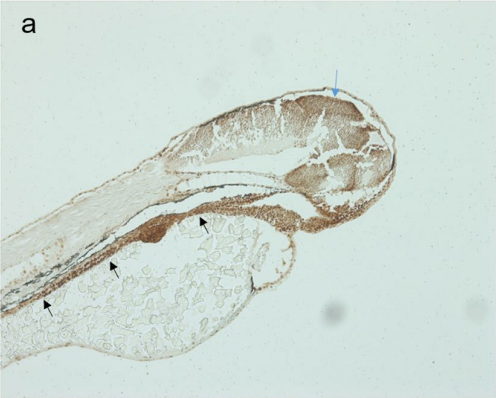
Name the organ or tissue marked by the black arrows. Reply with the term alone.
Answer: Gastro-intestinal tract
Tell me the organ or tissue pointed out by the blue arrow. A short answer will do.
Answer: Tectum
